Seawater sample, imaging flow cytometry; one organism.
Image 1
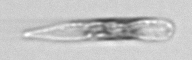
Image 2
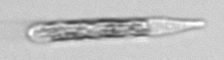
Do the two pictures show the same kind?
Yes, both are Licmophora.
